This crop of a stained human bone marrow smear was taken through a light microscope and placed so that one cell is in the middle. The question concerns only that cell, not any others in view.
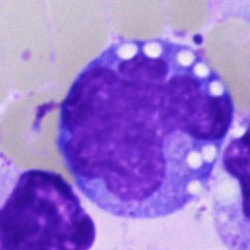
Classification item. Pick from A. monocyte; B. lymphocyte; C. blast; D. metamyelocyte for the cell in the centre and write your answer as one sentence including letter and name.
The cell right in the middle is a monocyte, so option A is the one.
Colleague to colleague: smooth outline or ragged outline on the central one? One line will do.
There are no projections here; the outline is simply smooth.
